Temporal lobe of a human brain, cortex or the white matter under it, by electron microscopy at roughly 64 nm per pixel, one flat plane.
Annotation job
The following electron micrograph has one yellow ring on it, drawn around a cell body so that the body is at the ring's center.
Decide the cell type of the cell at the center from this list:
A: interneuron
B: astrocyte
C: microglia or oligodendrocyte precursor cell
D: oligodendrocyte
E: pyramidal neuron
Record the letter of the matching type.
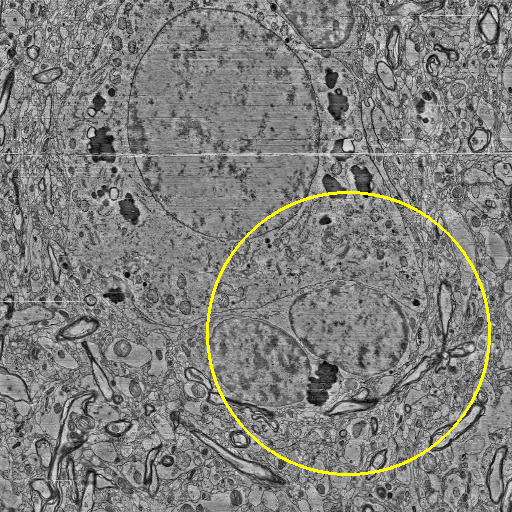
C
